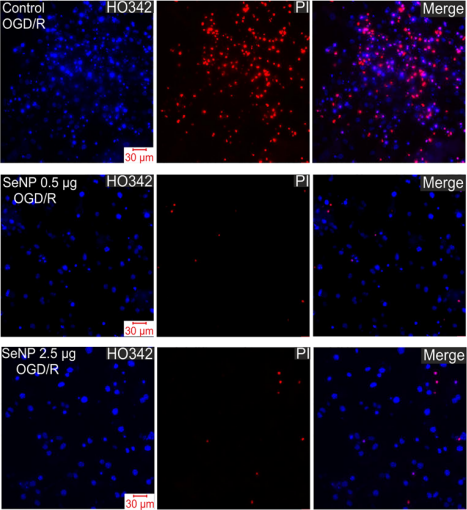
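In the top row many nuclei are also stained red, and in the merged image these overlap the blue as pink-purple nuclei. In the two lower rows only a few scattered nuclei are red, while the blue nuclei remain numerous.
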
